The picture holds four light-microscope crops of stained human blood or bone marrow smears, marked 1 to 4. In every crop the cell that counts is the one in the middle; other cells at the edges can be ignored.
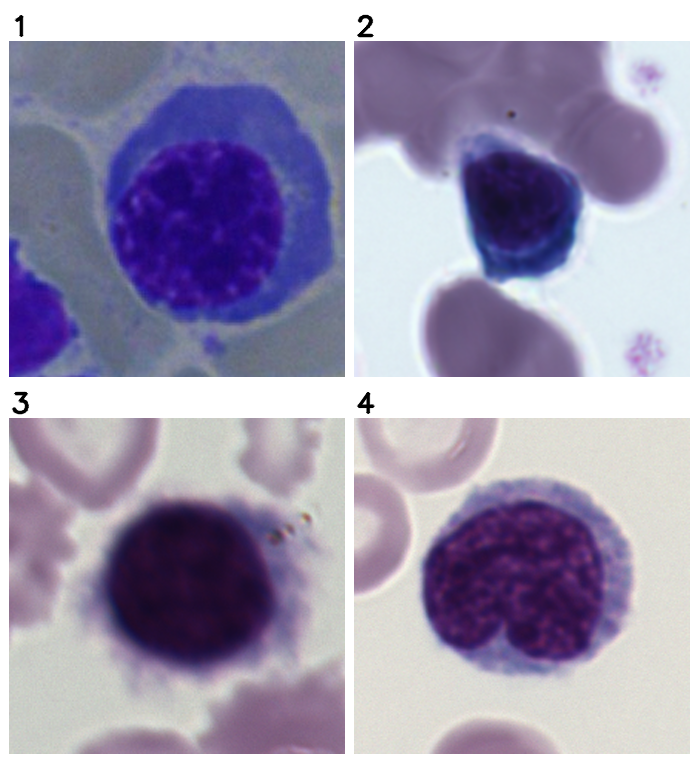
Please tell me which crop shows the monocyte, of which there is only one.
4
